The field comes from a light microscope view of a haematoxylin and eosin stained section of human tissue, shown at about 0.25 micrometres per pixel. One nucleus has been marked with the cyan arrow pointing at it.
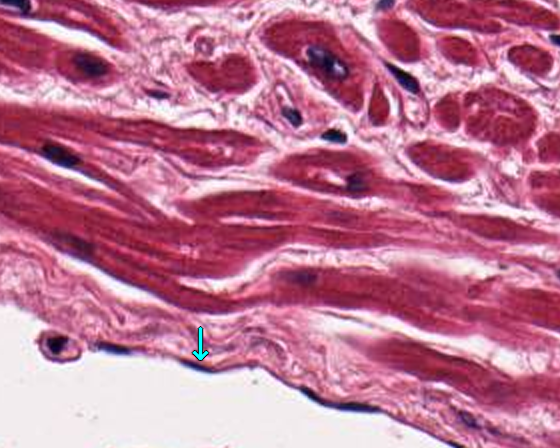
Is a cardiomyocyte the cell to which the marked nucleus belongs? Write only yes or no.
no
